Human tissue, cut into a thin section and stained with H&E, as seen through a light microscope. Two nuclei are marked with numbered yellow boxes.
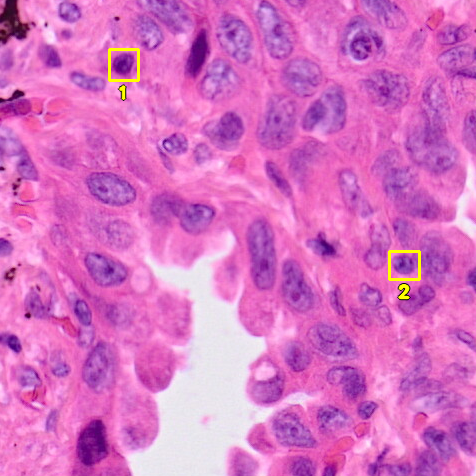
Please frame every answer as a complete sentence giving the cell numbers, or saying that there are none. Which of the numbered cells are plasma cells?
Exactly one numbered cell is a plasma cell, and that cell is number 1.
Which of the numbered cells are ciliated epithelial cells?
Checking each numbered cell, none of them turn out to be ciliated epithelial cells.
